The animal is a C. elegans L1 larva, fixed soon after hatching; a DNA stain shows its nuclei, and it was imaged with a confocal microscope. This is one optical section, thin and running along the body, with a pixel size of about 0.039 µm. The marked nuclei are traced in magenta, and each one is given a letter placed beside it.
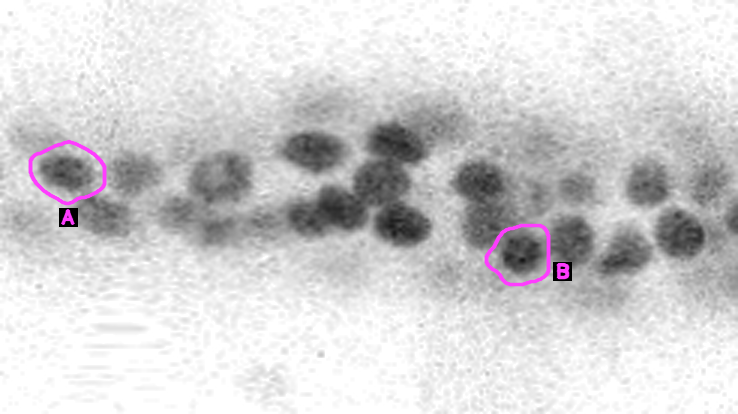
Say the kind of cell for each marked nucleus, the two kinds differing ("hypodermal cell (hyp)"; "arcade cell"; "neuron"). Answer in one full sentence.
The nucleus A is that of an arcade cell, while B is that of a neuron.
